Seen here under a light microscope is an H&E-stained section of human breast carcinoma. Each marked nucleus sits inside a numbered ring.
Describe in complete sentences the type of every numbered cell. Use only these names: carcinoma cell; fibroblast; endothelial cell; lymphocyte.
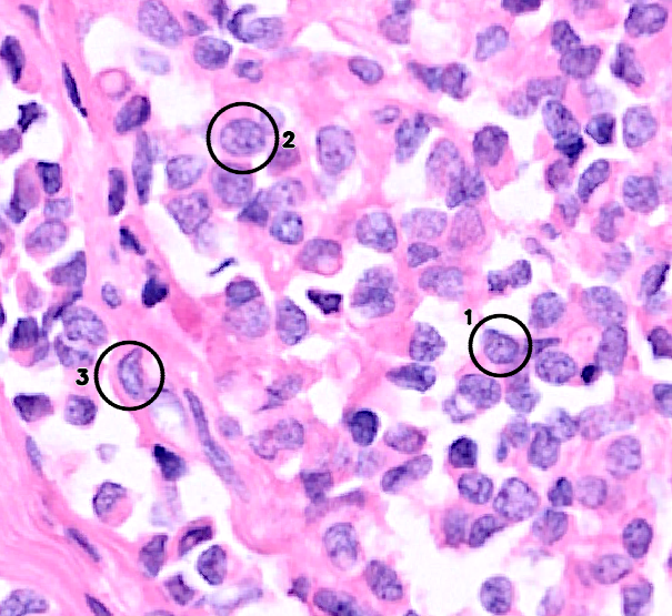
Cell 1 is a carcinoma cell, cell 2 is a carcinoma cell and cell 3 is an endothelial cell.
